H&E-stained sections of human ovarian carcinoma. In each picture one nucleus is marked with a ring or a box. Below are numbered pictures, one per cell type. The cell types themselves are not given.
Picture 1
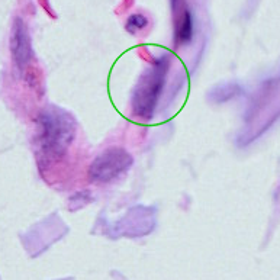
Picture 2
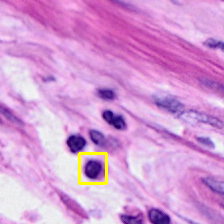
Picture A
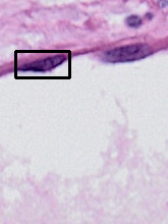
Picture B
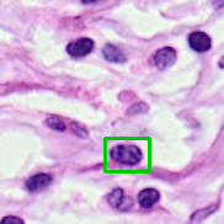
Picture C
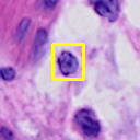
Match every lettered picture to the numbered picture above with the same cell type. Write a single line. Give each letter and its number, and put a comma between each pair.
A 1, B 2, C 2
